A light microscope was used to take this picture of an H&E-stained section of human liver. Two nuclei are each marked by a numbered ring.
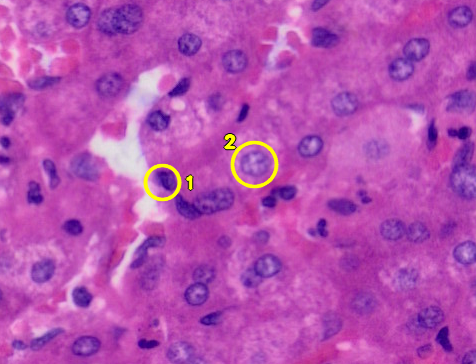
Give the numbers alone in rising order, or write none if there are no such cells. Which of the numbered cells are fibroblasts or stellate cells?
1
